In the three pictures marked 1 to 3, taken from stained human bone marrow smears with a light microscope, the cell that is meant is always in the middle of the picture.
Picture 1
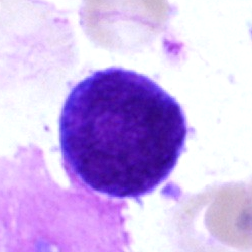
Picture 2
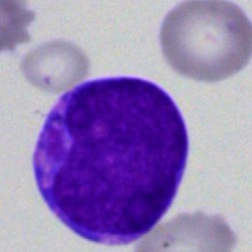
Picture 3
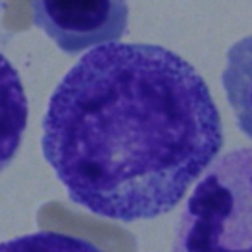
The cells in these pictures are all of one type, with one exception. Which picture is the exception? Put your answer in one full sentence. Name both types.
The others show blasts, but picture 3 shows a promyelocyte.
